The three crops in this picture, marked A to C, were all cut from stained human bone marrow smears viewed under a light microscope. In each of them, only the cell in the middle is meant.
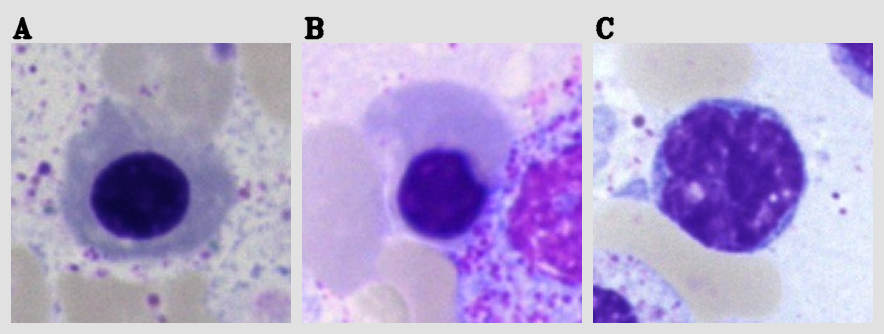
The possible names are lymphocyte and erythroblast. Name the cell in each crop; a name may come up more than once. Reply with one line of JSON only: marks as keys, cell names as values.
{"A": "erythroblast", "B": "erythroblast", "C": "lymphocyte"}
